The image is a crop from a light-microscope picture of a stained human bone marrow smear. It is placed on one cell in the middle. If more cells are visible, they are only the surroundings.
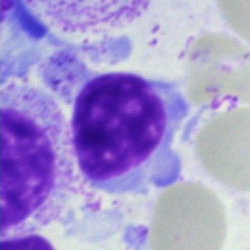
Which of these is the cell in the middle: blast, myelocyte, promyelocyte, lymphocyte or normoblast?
lymphocyte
